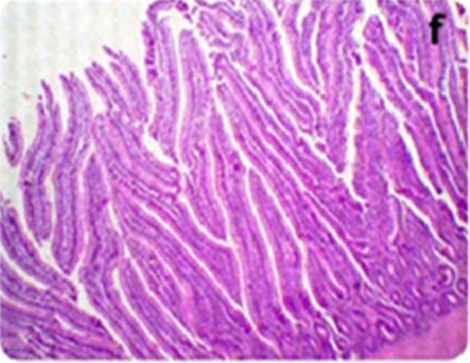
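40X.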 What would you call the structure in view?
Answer: Tall villi.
